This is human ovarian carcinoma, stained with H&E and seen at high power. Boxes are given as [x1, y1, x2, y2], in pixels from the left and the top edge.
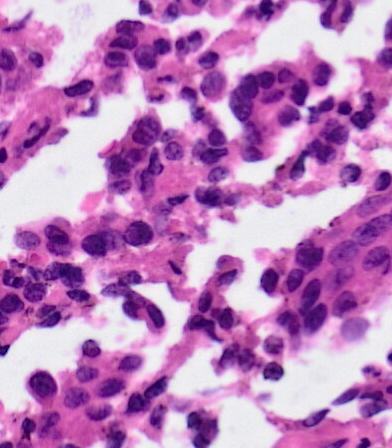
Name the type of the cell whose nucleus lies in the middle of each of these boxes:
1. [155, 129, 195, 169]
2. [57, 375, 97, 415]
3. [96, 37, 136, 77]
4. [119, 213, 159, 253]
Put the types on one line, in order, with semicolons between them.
macrophage or monocyte; carcinoma cell; carcinoma cell; carcinoma cell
